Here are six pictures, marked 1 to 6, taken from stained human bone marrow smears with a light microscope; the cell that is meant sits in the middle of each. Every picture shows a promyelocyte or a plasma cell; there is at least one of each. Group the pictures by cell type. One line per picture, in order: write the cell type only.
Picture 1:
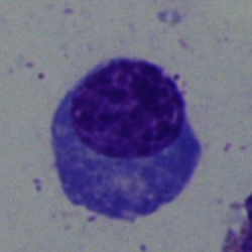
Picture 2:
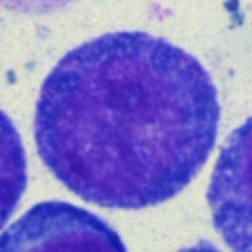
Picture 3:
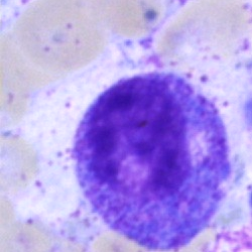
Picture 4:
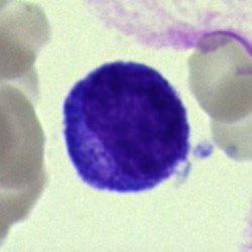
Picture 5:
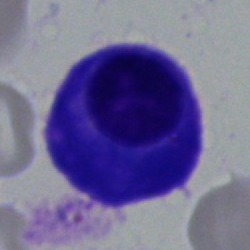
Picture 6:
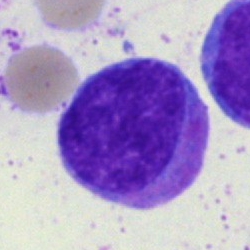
plasma cell
promyelocyte
promyelocyte
promyelocyte
plasma cell
promyelocyte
